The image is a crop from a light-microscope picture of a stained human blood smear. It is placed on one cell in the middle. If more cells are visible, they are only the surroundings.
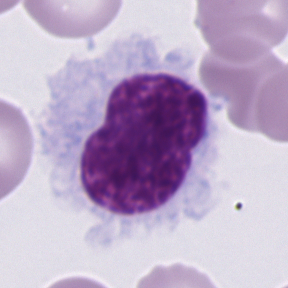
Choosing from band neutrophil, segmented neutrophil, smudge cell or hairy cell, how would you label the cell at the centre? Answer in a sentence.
Seen at the centre of the crop is a hairy cell.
